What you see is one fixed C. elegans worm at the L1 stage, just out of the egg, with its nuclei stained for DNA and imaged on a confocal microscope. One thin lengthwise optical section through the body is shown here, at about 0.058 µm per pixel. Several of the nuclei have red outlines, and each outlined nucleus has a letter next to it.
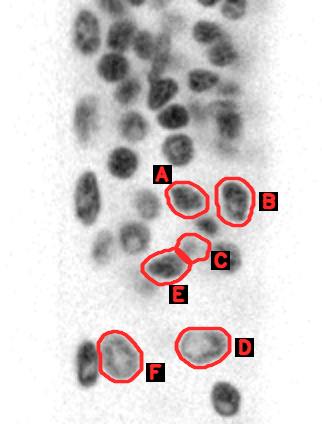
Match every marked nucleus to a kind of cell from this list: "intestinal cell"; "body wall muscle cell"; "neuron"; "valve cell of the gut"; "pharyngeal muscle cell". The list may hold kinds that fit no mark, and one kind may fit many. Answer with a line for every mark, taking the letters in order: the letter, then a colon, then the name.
A: pharyngeal muscle cell
B: body wall muscle cell
C: pharyngeal muscle cell
D: intestinal cell
E: valve cell of the gut
F: intestinal cell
